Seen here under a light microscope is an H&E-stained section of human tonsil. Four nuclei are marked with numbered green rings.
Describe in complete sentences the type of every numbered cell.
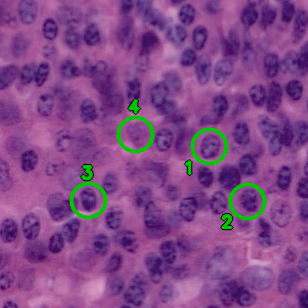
Cell 1 is a plasma cell, cell 2 is a plasma cell, cell 3 is a plasma cell and cell 4 is a squamous epithelial cell.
